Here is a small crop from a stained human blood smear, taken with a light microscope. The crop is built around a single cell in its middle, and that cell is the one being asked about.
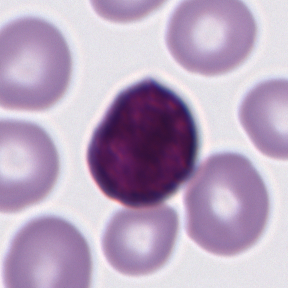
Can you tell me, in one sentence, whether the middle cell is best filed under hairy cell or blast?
This crop has a blast at its centre.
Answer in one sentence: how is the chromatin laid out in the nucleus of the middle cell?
The nucleus shows chromatin that is coarsely clumped.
